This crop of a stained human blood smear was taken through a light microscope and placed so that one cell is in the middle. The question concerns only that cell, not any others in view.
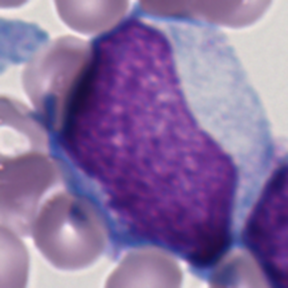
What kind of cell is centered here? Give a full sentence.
The center cell of this crop is a promyelocyte.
